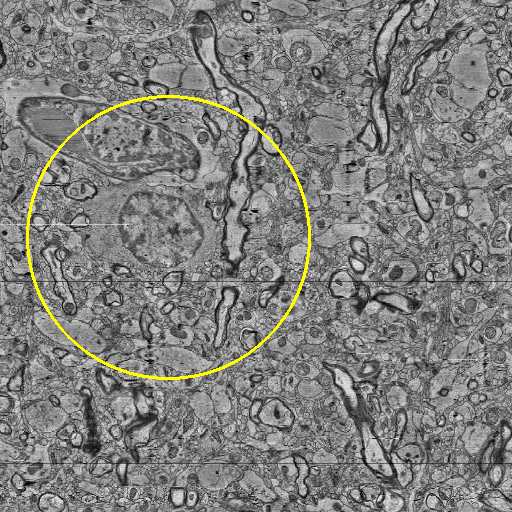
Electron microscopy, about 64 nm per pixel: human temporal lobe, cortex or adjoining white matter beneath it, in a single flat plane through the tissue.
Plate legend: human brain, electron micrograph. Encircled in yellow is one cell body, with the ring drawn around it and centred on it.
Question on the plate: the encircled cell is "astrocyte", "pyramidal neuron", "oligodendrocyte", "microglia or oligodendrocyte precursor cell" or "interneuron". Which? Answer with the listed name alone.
oligodendrocyte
